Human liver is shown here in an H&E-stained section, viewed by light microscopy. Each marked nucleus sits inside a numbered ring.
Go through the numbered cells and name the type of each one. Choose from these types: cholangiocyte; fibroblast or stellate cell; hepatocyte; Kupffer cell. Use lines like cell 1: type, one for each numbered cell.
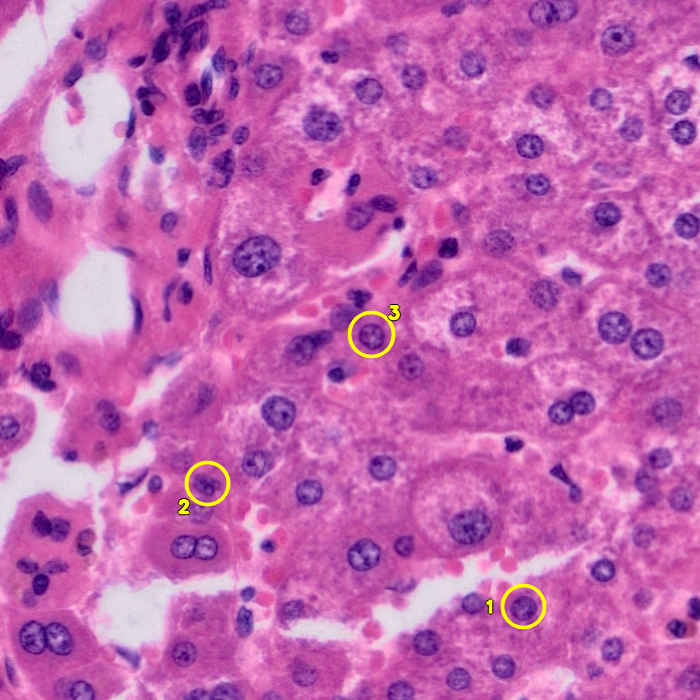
cell 1: hepatocyte
cell 2: fibroblast or stellate cell
cell 3: hepatocyte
